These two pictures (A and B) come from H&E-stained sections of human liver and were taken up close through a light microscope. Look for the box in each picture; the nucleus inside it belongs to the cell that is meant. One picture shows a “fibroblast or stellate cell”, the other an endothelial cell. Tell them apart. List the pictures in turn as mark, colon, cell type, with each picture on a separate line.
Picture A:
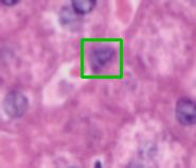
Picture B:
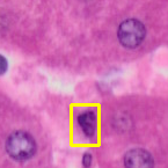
A: endothelial cell
B: fibroblast or stellate cell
